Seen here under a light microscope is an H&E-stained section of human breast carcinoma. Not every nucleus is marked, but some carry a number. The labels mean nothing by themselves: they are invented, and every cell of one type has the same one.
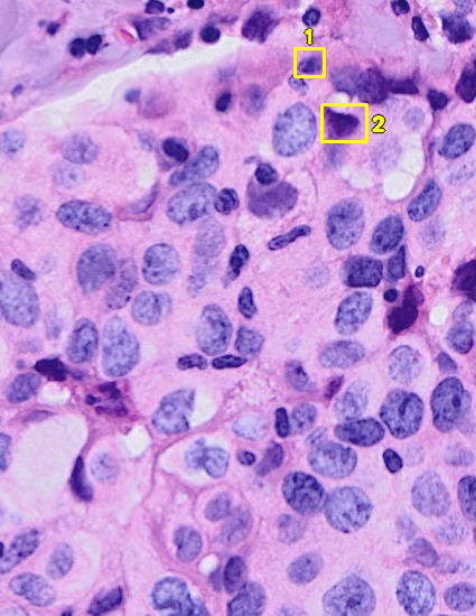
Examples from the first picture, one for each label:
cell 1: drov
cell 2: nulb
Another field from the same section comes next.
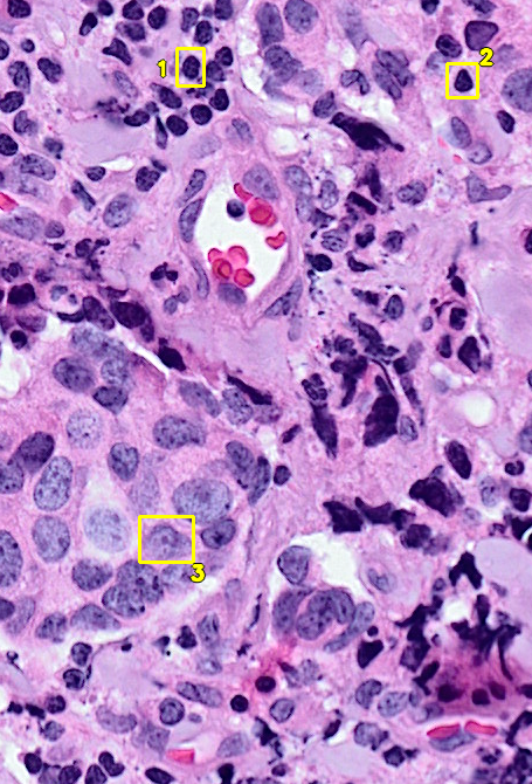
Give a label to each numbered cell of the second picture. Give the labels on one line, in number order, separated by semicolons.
drov; drov; nulb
